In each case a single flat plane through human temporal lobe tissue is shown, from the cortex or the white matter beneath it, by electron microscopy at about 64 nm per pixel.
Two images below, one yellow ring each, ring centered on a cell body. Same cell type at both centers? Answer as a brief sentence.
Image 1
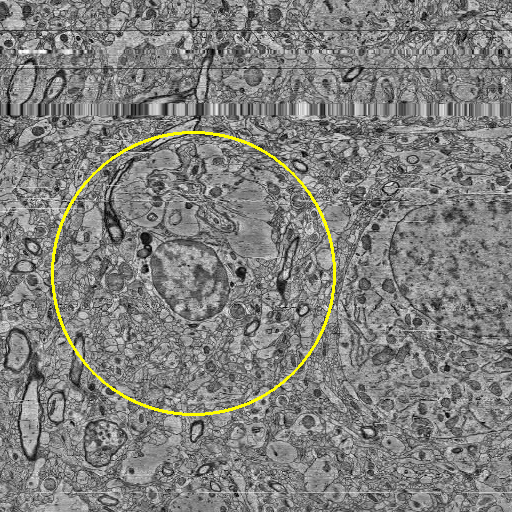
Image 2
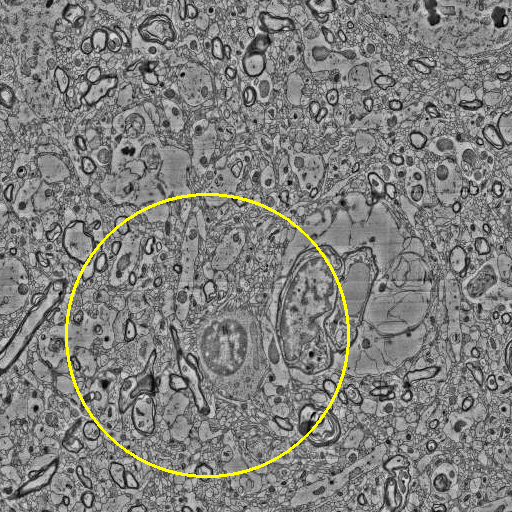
No, the cells are of two separate types.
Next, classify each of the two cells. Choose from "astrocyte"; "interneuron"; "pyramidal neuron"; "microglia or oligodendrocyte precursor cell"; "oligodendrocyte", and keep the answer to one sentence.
In the first picture it is a microglial cell or oligodendrocyte precursor cell; in the second it is an oligodendrocyte.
